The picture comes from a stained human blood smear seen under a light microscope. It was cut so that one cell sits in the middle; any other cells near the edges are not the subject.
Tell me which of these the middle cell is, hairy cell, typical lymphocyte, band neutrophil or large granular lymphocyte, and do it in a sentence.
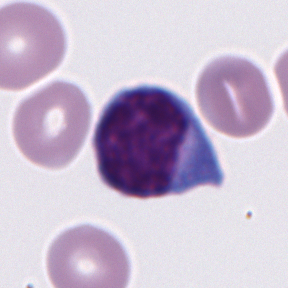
Among the cells in view, the one in the middle is a typical lymphocyte.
